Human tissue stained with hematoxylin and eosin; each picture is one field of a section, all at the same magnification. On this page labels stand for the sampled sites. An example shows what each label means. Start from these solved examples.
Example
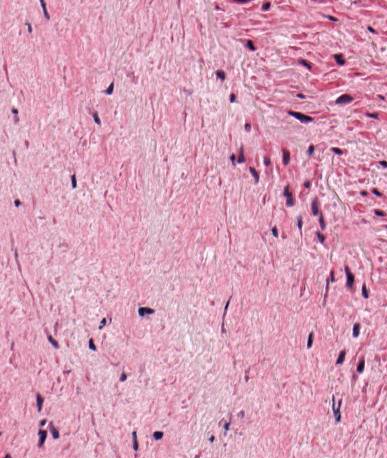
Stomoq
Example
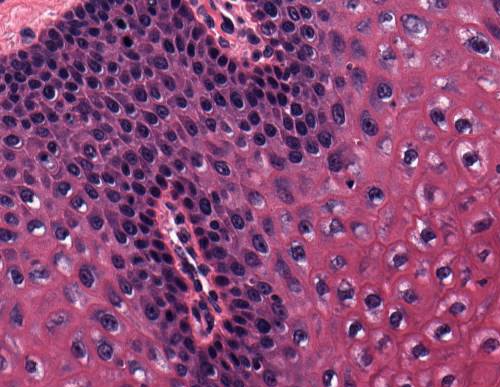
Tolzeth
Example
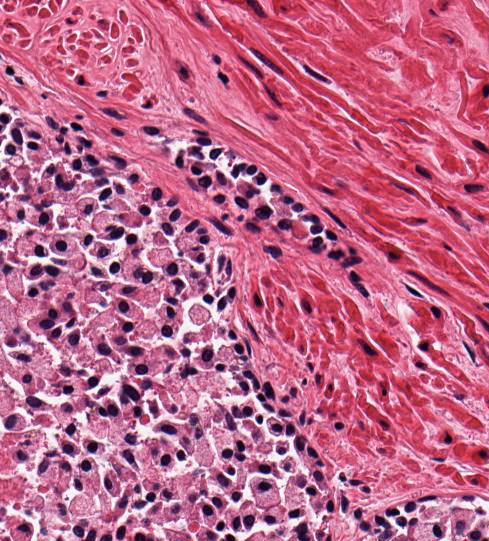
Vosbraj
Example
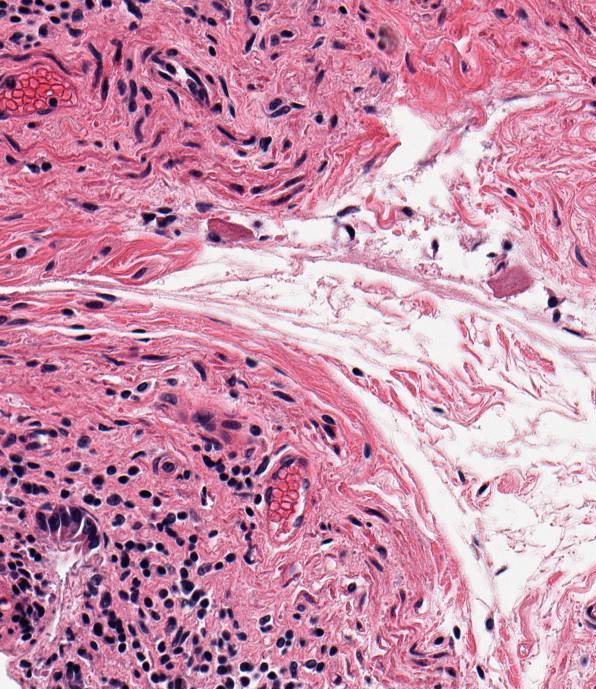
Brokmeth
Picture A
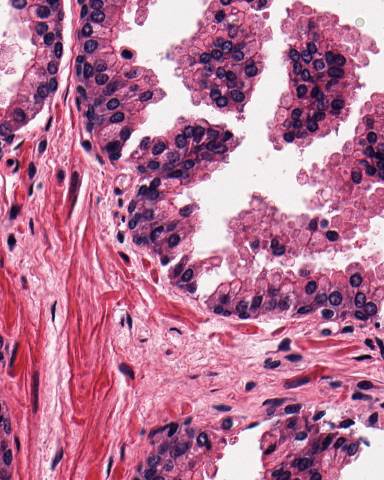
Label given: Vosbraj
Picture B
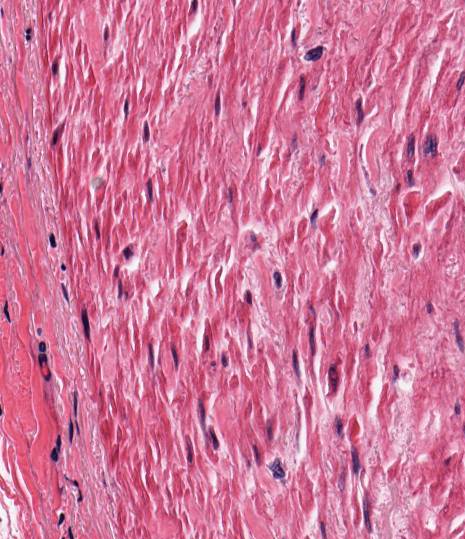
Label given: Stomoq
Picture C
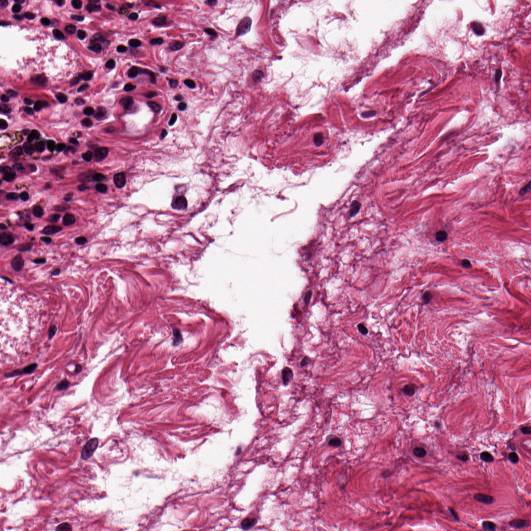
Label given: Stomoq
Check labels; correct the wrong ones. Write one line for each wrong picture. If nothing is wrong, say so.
C should be Brokmeth, not Stomoq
